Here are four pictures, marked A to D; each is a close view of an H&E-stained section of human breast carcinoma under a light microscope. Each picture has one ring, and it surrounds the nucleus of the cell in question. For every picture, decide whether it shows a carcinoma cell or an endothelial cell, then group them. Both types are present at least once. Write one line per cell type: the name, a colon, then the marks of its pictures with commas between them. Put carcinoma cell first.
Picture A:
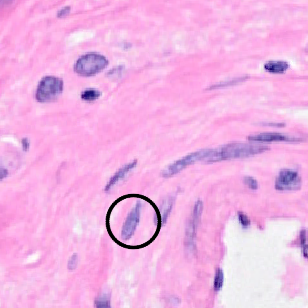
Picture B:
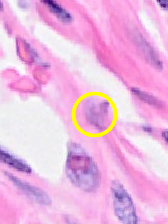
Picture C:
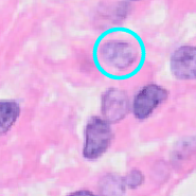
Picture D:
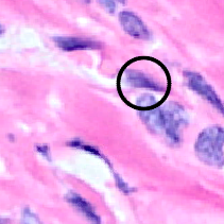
carcinoma cell: C
endothelial cell: A, B, D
